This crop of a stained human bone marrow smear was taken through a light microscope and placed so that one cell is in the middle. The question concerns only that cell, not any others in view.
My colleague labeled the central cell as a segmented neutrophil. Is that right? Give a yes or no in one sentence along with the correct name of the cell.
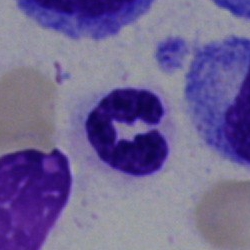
Yes, the cell in the middle is a segmented neutrophil.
